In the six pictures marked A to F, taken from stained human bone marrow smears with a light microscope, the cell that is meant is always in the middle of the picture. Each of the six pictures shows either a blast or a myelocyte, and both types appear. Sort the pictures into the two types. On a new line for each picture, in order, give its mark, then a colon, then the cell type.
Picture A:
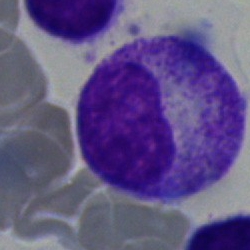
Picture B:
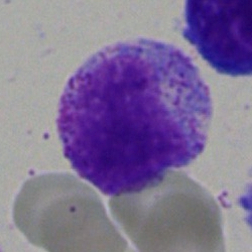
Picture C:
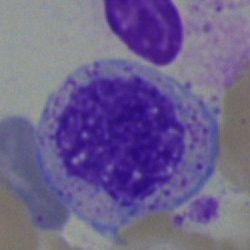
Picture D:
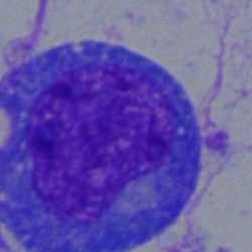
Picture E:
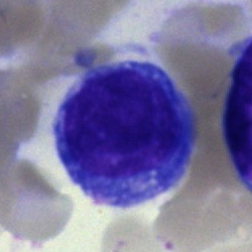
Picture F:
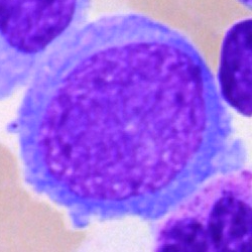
A: myelocyte
B: myelocyte
C: myelocyte
D: blast
E: blast
F: blast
